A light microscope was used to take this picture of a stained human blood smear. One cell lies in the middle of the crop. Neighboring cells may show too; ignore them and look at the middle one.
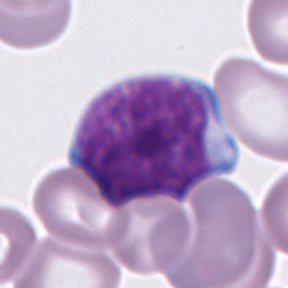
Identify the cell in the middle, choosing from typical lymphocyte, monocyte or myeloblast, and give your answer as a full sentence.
The identification for the central cell is a myeloblast.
